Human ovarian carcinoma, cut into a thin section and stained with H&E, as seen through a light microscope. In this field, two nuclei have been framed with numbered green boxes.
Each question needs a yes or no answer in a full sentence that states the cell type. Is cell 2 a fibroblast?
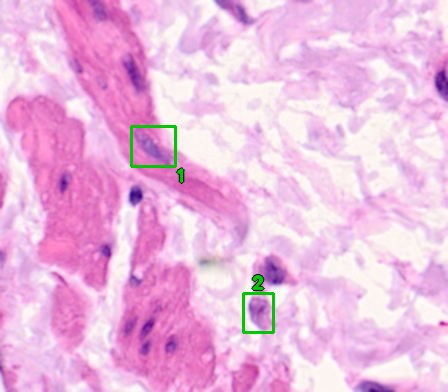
Yes, the cell to which number 2 refers is a fibroblast.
